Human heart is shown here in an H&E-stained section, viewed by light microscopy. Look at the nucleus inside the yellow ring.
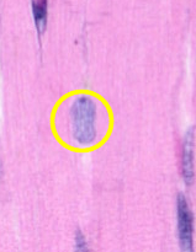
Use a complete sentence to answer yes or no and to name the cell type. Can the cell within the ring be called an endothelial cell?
No, the cell within the ring is a cardiomyocyte in this section, not an endothelial cell.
